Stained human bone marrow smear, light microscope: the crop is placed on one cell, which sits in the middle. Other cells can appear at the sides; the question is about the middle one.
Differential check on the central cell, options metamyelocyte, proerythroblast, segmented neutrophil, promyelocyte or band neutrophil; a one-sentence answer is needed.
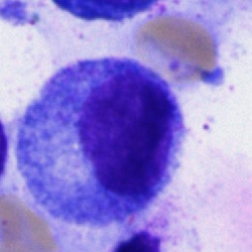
In short, the cell at the center is a promyelocyte.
